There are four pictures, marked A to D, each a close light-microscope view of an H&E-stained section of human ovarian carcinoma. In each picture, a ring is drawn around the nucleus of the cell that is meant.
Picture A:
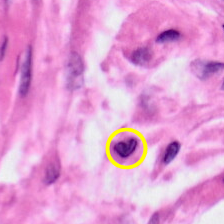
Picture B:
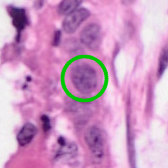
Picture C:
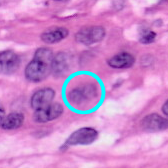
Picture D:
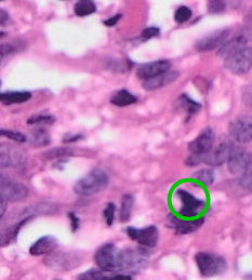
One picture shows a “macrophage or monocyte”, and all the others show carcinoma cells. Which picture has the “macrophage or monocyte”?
A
